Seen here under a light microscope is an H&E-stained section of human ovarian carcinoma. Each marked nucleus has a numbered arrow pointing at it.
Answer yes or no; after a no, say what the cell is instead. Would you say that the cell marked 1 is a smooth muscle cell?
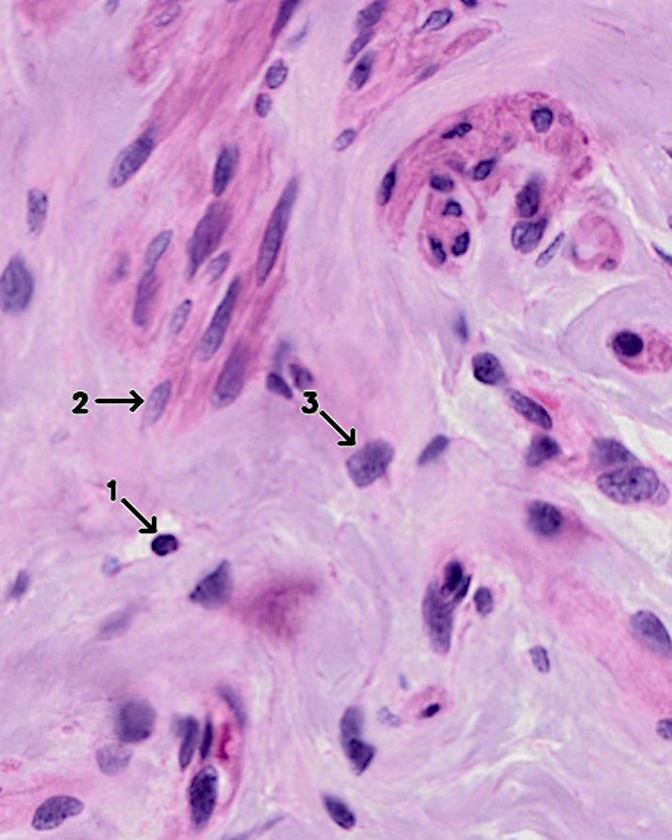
No, it is a lymphocyte.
